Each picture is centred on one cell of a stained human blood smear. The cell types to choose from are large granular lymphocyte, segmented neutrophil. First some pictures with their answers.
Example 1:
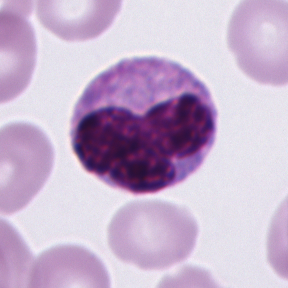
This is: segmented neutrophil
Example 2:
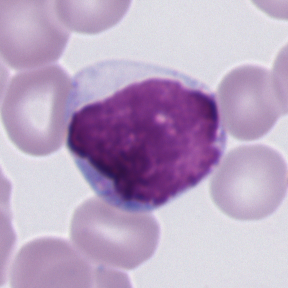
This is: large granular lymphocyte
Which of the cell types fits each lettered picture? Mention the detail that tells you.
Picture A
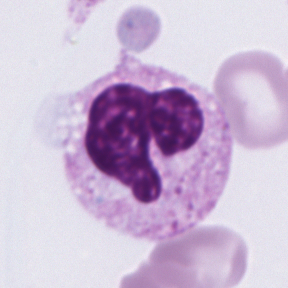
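segmented neutrophil: The cytoplasm is plentiful and pale pinkish-lilac.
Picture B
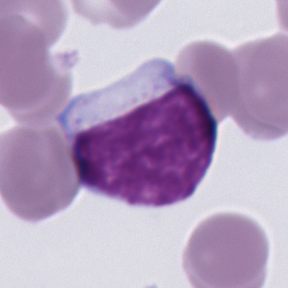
large granular lymphocyte: The cytoplasm forms a narrow band along the upper left side of the cell.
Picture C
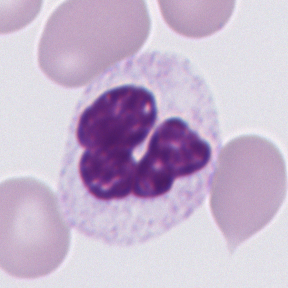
segmented neutrophil: A wide rim of pale pinkish-lilac cytoplasm surrounds the nucleus.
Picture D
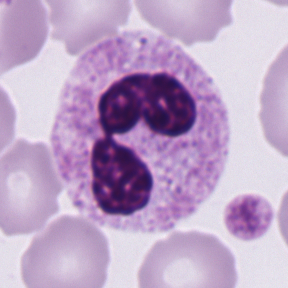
segmented neutrophil: The cytoplasm is abundant and pale pinkish-lilac.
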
